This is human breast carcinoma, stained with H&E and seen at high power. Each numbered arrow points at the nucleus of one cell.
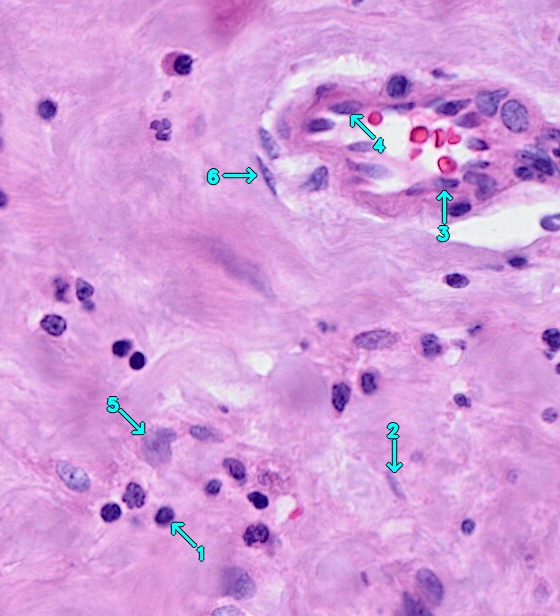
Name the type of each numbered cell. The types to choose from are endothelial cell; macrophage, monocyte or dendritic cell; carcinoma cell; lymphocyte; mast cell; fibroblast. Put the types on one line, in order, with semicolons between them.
lymphocyte; fibroblast; endothelial cell; endothelial cell; fibroblast; fibroblast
